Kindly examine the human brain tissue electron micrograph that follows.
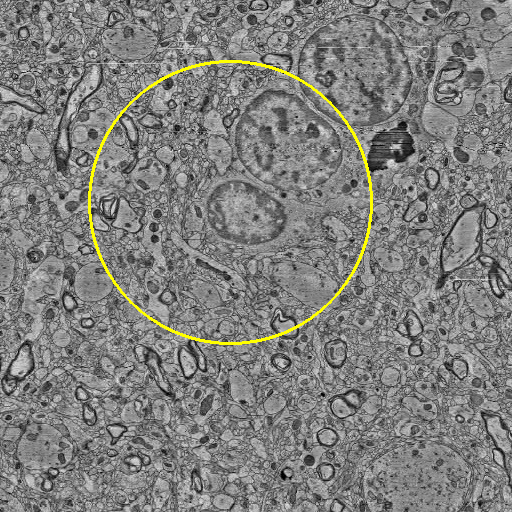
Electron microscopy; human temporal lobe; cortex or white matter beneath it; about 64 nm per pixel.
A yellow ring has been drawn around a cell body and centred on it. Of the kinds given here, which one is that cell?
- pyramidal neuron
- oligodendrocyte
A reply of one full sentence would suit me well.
The micrograph's ringed cell, the one at the ring's centre, is an oligodendrocyte.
